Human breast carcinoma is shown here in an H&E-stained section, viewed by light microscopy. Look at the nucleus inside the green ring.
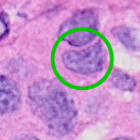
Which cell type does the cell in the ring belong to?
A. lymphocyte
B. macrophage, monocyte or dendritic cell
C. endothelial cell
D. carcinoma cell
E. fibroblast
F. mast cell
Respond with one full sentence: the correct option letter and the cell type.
Option D stands as correct, with the cell in the ring being a carcinoma cell.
